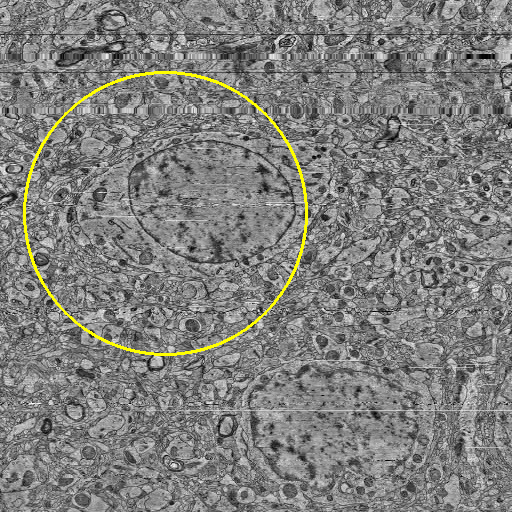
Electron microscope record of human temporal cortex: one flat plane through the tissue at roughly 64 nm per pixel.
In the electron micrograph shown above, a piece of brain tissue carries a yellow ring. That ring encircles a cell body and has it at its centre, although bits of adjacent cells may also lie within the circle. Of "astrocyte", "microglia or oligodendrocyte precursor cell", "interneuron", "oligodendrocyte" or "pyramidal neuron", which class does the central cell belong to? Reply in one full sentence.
The cell body at the centre of the yellow ring belongs to a pyramidal neuron.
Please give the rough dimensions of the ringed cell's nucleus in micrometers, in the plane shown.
Roughly 11 by 8 micrometres is the size of the nucleus in this plane.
